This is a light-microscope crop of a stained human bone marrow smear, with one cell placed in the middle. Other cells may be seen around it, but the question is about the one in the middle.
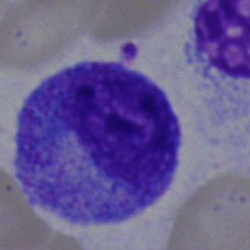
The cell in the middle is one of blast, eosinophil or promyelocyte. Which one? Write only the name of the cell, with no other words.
promyelocyte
